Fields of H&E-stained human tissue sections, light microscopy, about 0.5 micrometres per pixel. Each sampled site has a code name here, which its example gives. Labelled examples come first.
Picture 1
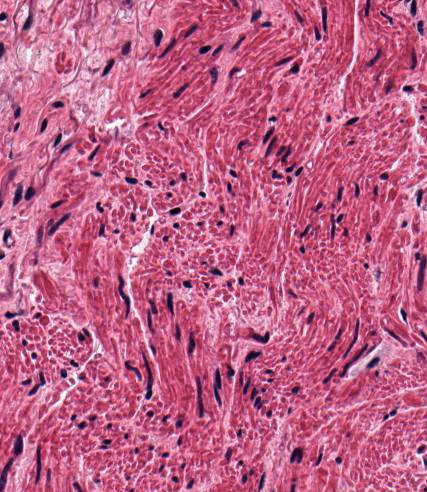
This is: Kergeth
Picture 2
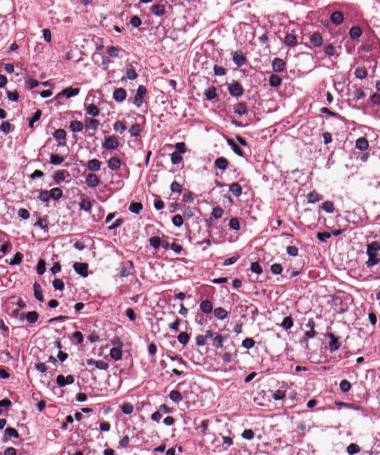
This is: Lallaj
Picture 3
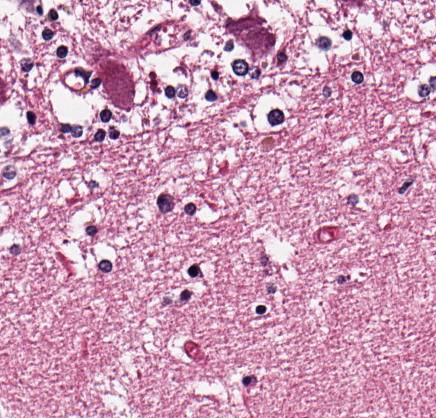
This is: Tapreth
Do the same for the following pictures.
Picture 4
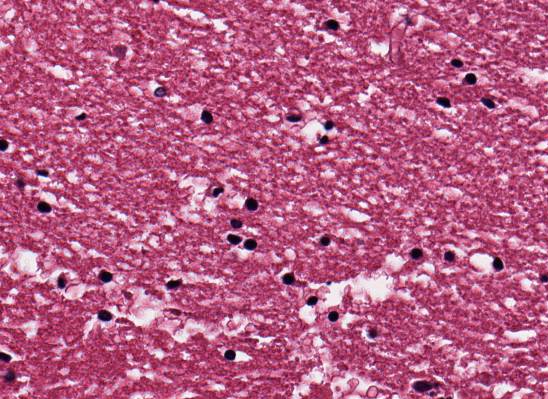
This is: Tapreth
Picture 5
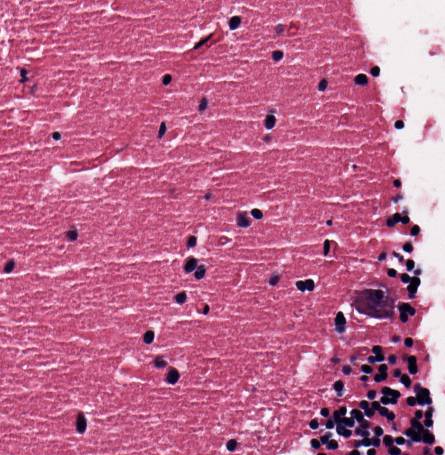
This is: Tapreth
